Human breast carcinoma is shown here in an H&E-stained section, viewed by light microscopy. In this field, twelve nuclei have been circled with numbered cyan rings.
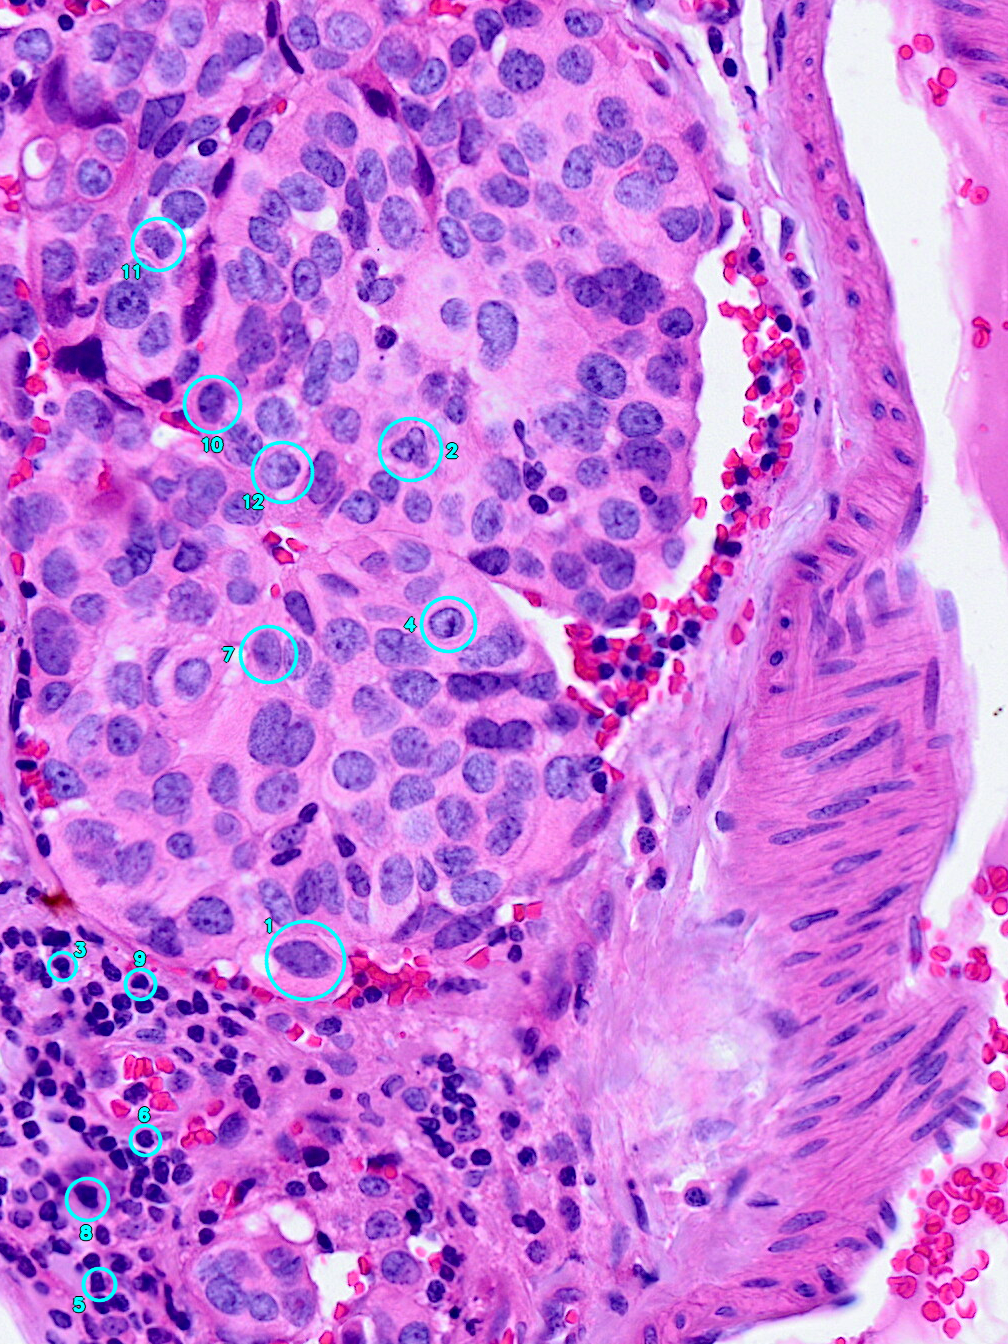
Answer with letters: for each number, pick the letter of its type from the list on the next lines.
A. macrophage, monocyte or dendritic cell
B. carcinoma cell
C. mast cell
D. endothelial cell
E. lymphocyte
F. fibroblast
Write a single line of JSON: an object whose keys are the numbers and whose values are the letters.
{"1": "B", "2": "B", "3": "E", "4": "B", "5": "E", "6": "E", "7": "B", "8": "E", "9": "E", "10": "B", "11": "B", "12": "B"}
